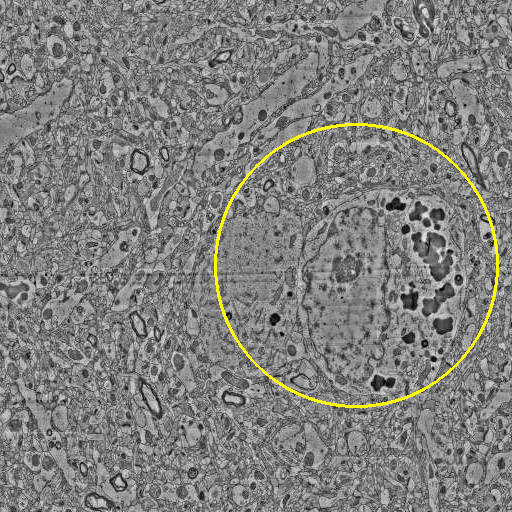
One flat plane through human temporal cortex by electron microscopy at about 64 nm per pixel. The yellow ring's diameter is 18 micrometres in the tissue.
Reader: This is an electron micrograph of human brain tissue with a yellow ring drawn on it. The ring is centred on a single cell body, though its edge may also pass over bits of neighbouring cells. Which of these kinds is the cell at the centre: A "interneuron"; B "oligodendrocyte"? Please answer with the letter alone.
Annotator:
A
